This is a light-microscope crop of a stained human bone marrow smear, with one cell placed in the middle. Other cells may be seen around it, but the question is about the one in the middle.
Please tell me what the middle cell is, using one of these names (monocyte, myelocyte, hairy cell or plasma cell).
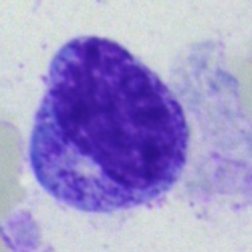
myelocyte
